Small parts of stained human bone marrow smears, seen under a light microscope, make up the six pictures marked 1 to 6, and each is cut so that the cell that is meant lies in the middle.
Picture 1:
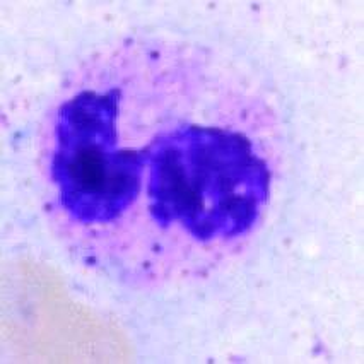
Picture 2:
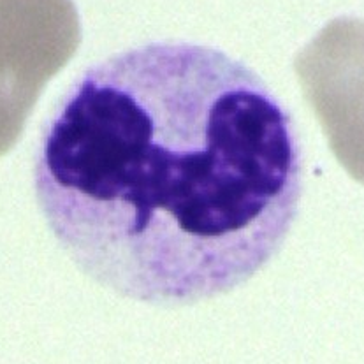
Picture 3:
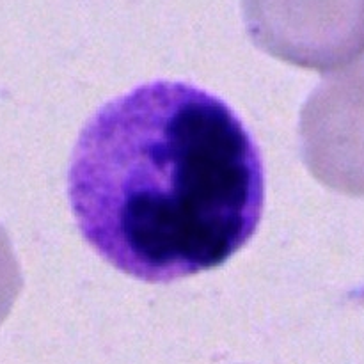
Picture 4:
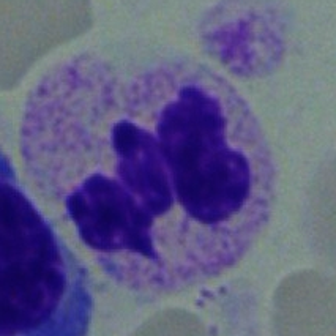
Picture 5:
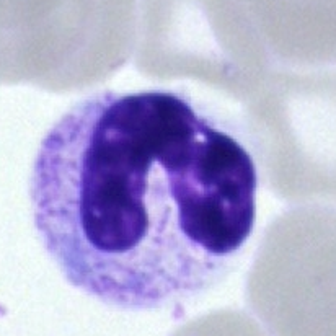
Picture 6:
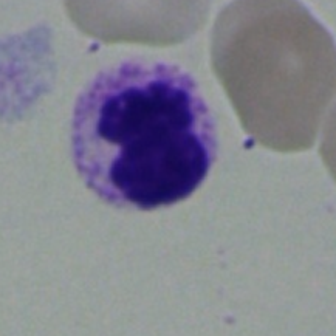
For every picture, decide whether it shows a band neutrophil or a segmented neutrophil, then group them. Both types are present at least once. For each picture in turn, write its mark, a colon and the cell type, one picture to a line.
1: segmented neutrophil
2: band neutrophil
3: segmented neutrophil
4: segmented neutrophil
5: band neutrophil
6: segmented neutrophil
